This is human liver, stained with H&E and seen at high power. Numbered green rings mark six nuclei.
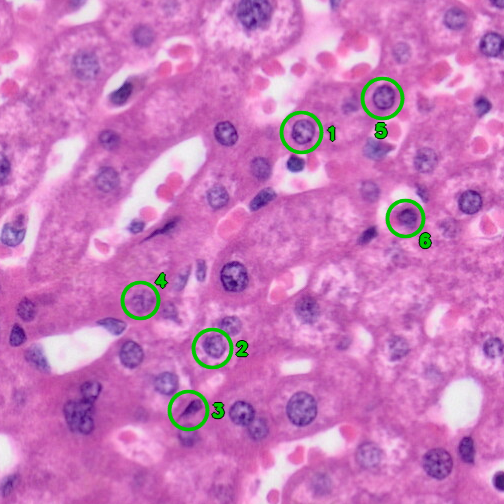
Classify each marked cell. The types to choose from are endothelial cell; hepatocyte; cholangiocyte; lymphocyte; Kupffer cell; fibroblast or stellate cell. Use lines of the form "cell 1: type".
cell 1: hepatocyte
cell 2: hepatocyte
cell 3: fibroblast or stellate cell
cell 4: hepatocyte
cell 5: hepatocyte
cell 6: Kupffer cell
